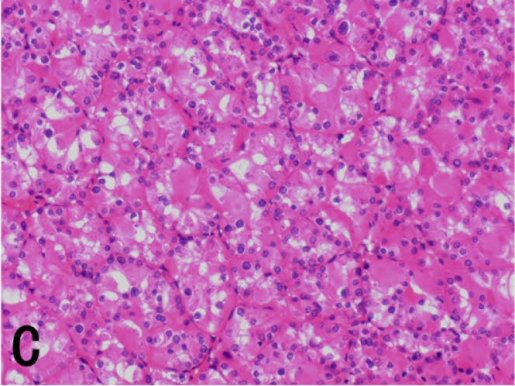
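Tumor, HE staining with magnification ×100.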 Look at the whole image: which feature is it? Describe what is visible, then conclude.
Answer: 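Nest and sheet. Cells lie in small groups separated by thin delicate septa.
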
